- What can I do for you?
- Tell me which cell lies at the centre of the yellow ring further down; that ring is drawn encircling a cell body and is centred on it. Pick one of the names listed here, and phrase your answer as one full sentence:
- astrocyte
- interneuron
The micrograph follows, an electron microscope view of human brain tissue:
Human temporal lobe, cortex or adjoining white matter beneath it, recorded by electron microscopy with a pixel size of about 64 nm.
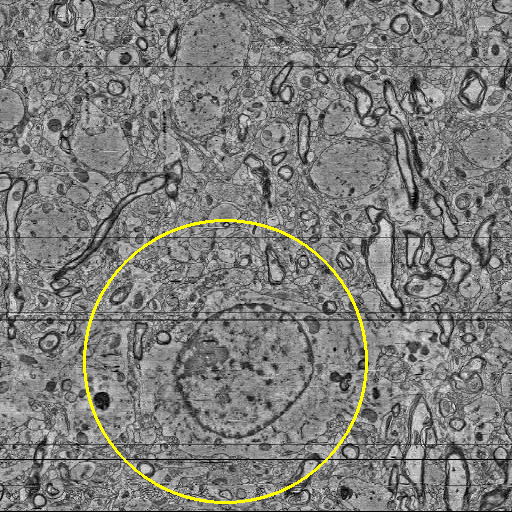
The cell whose body lies at the centre of the yellow ring is an astrocyte.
